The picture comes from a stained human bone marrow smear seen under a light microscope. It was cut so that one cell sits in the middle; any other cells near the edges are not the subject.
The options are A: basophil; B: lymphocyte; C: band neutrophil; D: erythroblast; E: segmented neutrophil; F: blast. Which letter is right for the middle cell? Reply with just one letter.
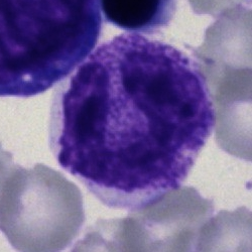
C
